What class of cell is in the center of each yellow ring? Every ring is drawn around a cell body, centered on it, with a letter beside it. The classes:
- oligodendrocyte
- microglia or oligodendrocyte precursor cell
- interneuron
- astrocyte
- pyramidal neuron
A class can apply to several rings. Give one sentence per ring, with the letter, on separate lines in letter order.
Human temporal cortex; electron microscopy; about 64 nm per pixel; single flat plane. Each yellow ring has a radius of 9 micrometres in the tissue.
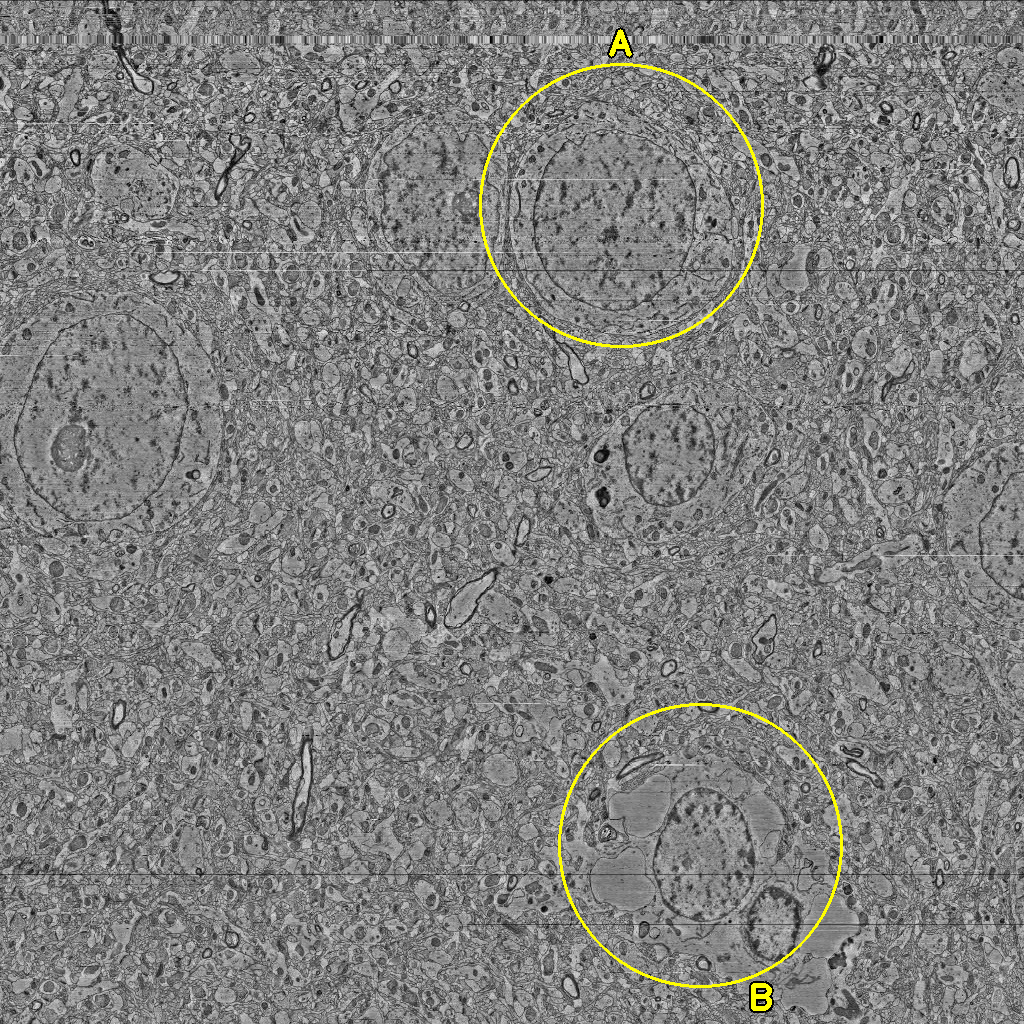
Ring A holds a pyramidal neuron at its center.
Ring B holds an astrocyte at its center.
